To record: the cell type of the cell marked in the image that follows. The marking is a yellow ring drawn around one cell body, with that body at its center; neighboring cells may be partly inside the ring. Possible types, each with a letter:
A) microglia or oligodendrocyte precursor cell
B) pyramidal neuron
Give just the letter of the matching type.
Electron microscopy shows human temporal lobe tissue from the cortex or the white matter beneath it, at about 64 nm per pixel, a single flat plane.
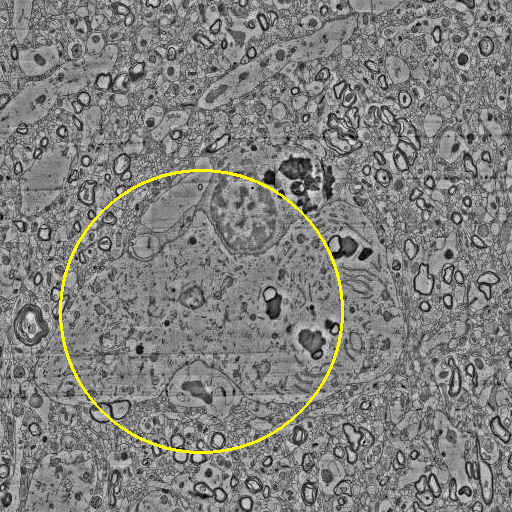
A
